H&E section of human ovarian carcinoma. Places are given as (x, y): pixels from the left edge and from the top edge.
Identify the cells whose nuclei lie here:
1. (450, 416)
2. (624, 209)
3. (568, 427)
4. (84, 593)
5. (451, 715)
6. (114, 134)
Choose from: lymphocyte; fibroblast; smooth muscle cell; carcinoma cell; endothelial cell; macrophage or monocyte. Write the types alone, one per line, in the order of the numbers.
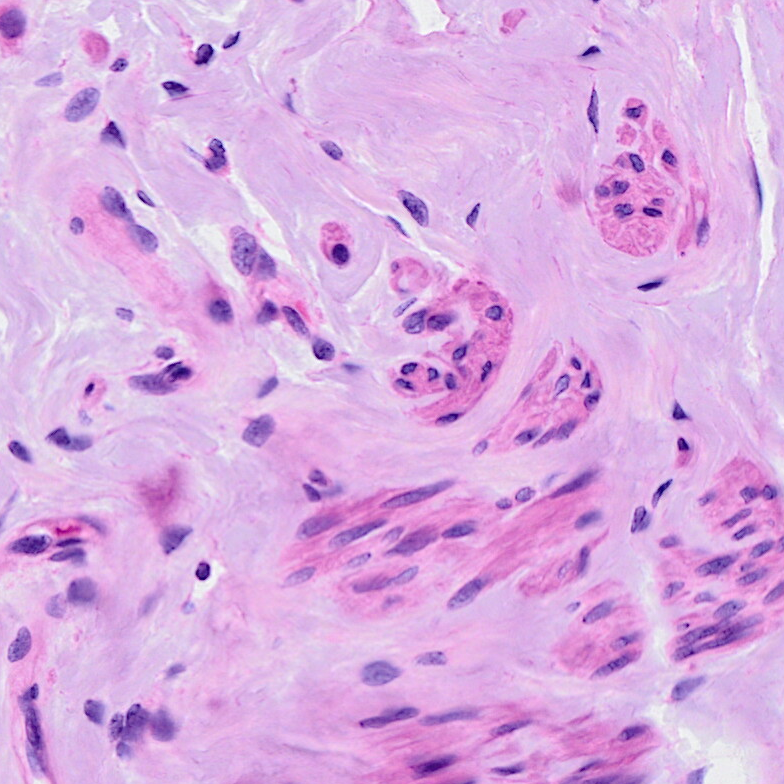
smooth muscle cell
smooth muscle cell
smooth muscle cell
fibroblast
smooth muscle cell
fibroblast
